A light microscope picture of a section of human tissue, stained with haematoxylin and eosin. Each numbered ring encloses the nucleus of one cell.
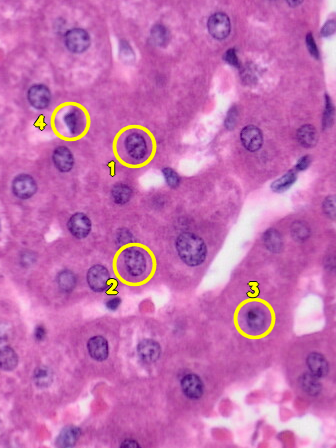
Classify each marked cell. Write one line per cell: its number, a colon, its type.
1: hepatocyte
2: hepatocyte
3: hepatocyte
4: endothelial cell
